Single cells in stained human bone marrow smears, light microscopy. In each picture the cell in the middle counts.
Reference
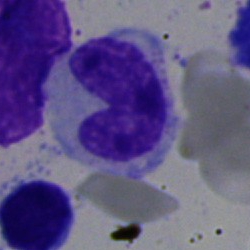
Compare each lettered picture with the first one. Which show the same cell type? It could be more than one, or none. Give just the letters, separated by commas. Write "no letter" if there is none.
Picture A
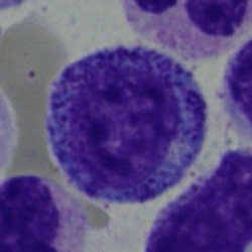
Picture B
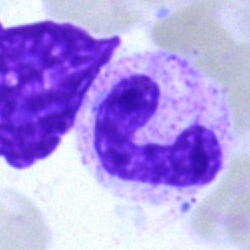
B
